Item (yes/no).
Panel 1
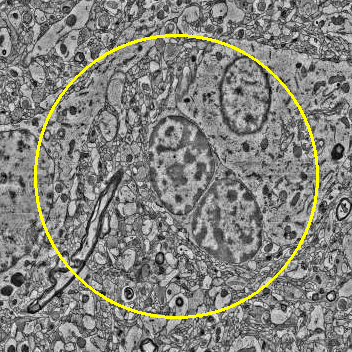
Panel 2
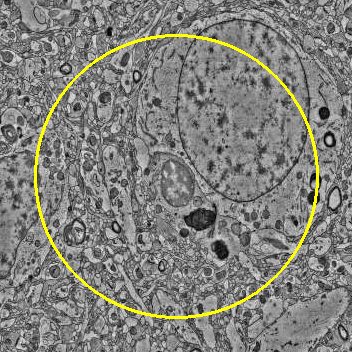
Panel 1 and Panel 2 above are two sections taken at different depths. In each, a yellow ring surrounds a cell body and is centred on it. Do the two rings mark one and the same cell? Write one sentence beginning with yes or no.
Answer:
Yes, each ring singles out the same cell.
